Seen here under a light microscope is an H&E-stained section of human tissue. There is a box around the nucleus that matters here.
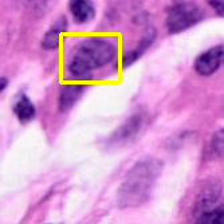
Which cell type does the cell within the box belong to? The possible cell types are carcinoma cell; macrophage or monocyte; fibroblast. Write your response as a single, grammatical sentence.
Recorded by type, the cell within the box is a carcinoma cell.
